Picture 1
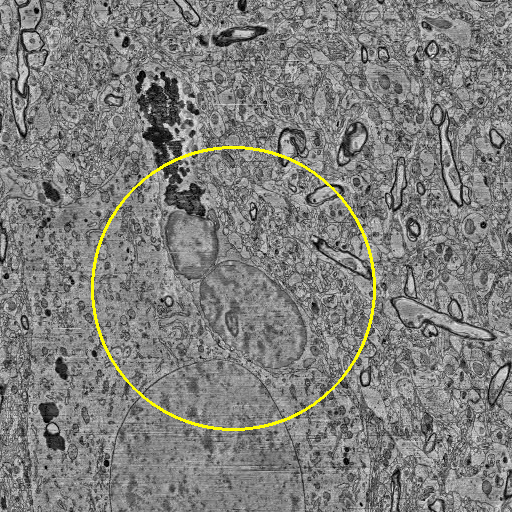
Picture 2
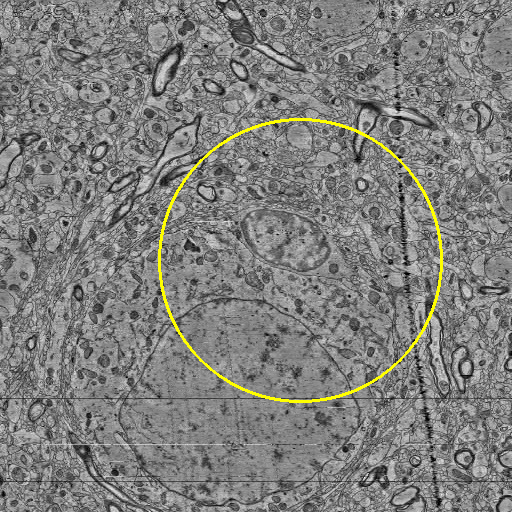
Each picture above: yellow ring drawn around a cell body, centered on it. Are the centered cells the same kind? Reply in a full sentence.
Yes, the two cells are the same kind.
